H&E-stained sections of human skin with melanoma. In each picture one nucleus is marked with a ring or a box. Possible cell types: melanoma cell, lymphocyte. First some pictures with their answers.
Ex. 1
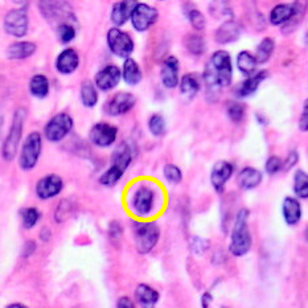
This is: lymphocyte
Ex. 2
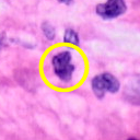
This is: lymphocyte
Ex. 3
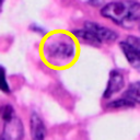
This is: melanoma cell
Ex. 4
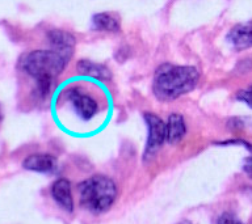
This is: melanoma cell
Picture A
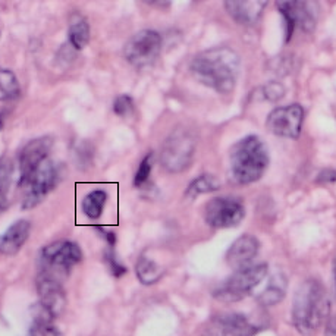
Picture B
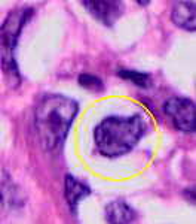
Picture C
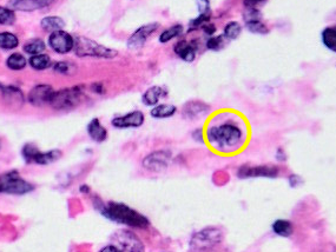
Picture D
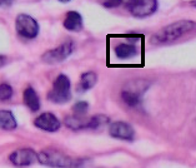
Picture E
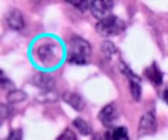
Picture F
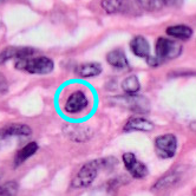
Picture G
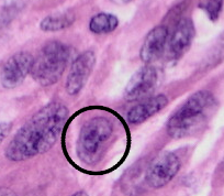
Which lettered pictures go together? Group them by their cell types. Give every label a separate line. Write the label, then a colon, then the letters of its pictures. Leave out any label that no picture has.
melanoma cell: B, E, G
lymphocyte: A, C, D, F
